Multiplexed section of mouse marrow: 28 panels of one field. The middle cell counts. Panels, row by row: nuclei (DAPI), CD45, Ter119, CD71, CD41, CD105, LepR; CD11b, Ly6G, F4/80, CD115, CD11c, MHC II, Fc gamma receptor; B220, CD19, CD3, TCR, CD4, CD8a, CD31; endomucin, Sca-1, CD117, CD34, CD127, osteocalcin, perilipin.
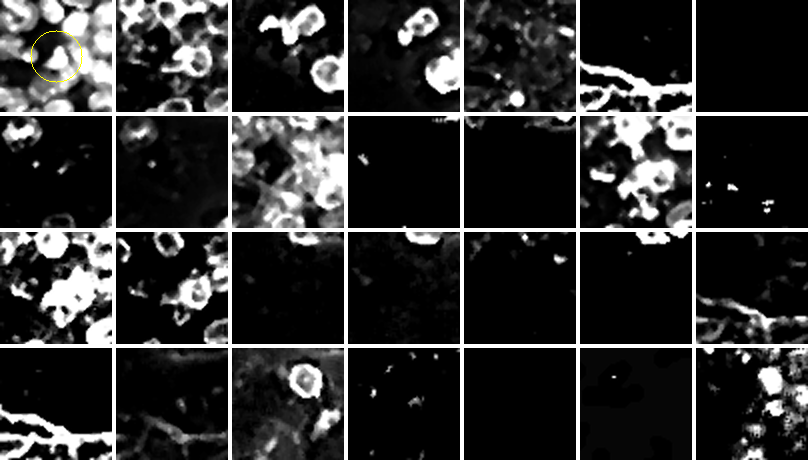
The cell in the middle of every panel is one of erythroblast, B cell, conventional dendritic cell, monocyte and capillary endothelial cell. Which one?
B cell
